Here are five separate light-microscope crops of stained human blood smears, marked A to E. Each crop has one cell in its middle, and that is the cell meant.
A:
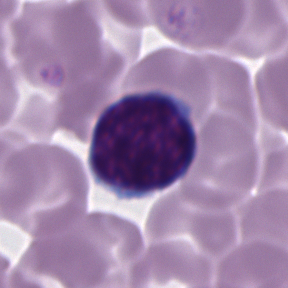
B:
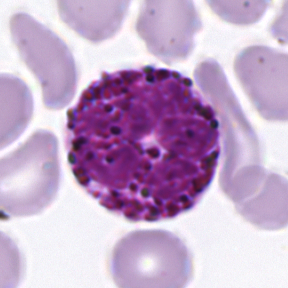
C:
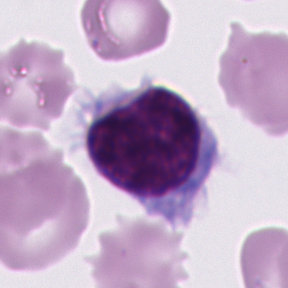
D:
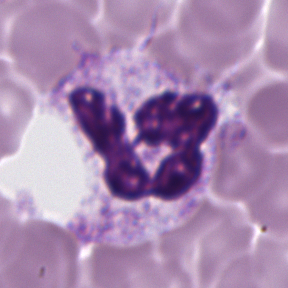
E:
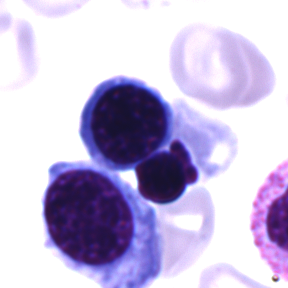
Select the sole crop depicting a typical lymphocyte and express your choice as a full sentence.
Here the crop that shows a typical lymphocyte is crop A.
